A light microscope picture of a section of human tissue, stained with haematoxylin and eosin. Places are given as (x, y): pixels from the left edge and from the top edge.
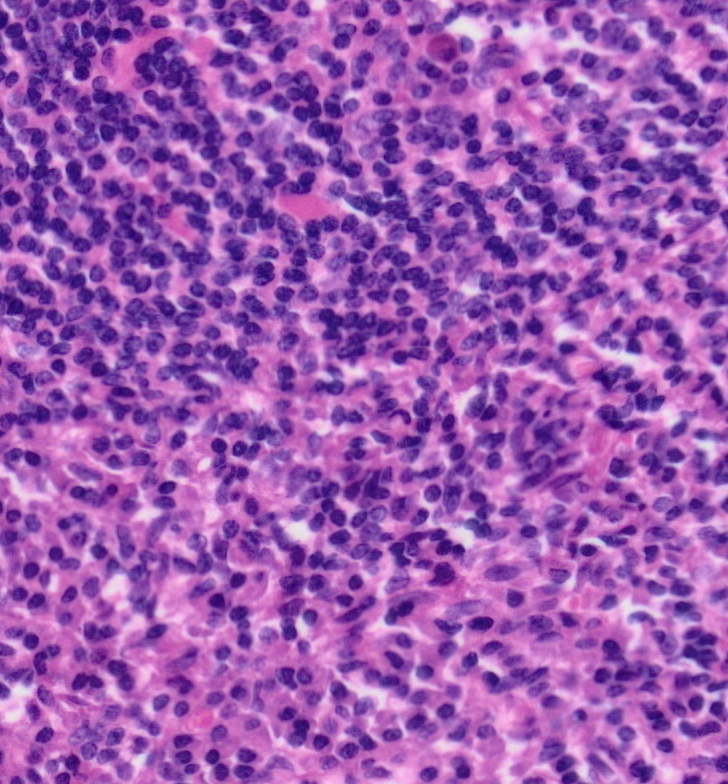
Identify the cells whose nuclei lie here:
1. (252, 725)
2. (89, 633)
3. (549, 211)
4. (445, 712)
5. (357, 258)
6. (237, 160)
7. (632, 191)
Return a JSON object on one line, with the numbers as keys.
{"1": "plasma cell", "2": "plasma cell", "3": "small lymphocyte", "4": "plasma cell", "5": "small lymphocyte", "6": "small lymphocyte", "7": "small lymphocyte"}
